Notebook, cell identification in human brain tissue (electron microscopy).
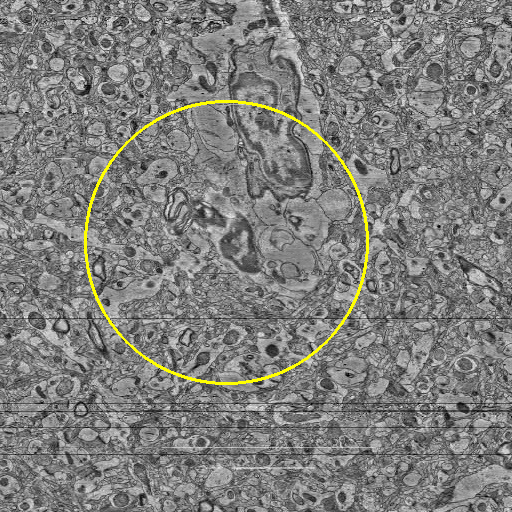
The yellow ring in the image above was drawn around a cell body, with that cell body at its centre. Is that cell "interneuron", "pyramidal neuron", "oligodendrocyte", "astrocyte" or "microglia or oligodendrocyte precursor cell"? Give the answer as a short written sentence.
The cell in the ring is a microglial cell or oligodendrocyte precursor cell.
